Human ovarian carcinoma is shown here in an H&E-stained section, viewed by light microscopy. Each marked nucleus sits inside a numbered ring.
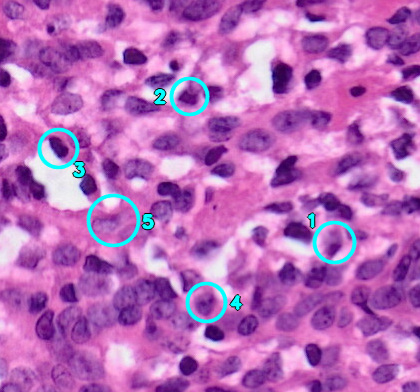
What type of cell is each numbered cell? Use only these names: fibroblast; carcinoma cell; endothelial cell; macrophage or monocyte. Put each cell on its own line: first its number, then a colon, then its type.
1: carcinoma cell
2: carcinoma cell
3: carcinoma cell
4: macrophage or monocyte
5: endothelial cell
